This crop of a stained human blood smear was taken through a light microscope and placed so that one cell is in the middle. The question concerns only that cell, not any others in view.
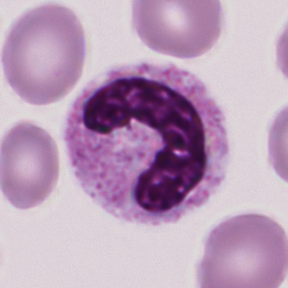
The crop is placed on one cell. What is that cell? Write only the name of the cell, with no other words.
band neutrophil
